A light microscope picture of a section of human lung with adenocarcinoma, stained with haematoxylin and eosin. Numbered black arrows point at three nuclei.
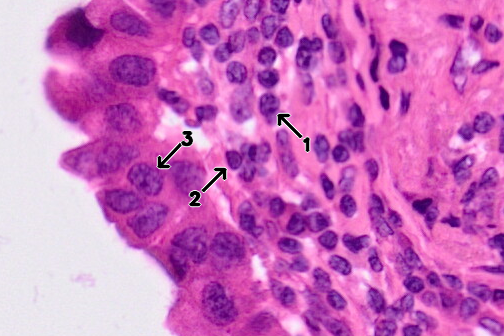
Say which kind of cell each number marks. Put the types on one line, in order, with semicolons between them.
lymphocyte; lymphocyte; carcinoma cell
